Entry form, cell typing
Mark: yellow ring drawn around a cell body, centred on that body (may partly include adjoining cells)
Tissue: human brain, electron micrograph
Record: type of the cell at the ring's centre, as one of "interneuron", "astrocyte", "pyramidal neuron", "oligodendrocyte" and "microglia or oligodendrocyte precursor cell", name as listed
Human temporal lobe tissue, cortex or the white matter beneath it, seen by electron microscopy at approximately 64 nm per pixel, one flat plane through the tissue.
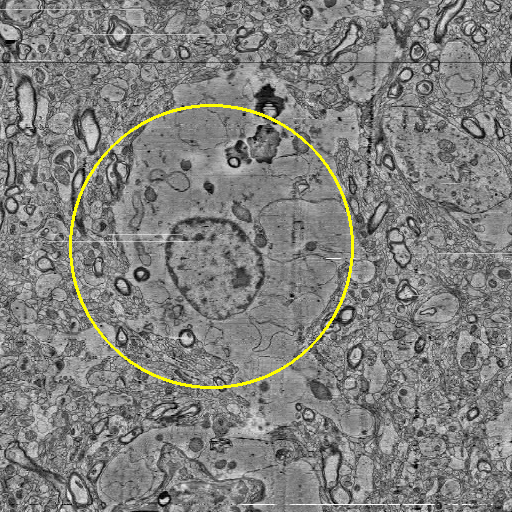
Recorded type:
astrocyte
